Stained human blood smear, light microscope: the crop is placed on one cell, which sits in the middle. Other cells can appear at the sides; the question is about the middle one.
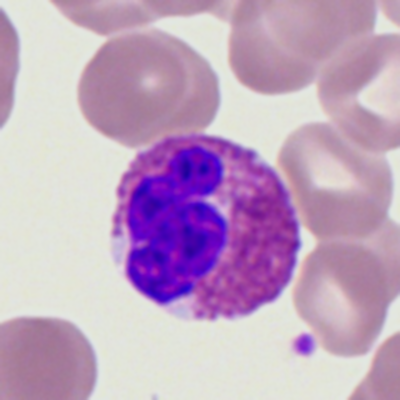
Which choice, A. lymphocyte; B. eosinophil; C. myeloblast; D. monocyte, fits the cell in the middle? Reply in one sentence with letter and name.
For this crop, option B is right, the centered cell being an eosinophil.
